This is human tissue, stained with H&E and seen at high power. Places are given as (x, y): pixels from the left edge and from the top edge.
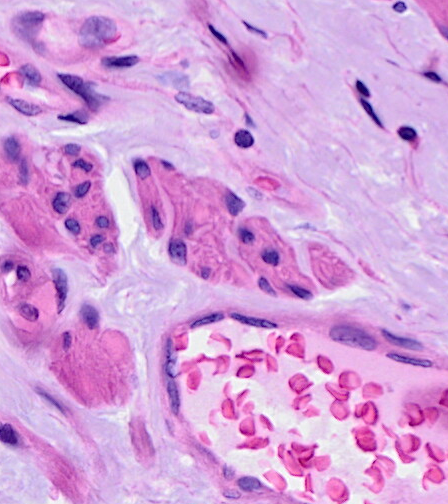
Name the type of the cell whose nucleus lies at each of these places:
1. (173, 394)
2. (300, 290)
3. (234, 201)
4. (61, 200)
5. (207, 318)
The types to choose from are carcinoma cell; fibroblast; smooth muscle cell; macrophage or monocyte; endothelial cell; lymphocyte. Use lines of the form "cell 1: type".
cell 1: endothelial cell
cell 2: smooth muscle cell
cell 3: smooth muscle cell
cell 4: smooth muscle cell
cell 5: endothelial cell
